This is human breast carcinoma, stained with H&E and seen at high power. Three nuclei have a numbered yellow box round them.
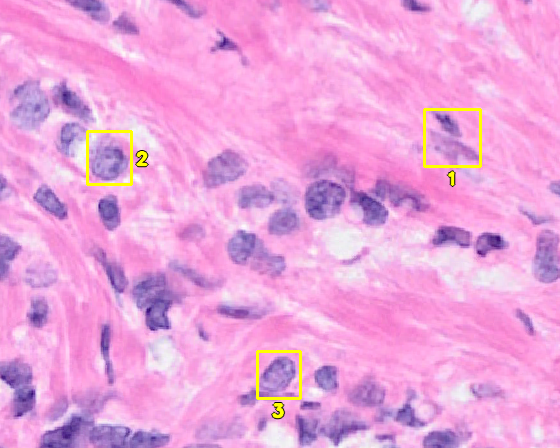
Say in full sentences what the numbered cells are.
Cell 1 is a fibroblast. Cells 2 and 3 are carcinoma cells.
